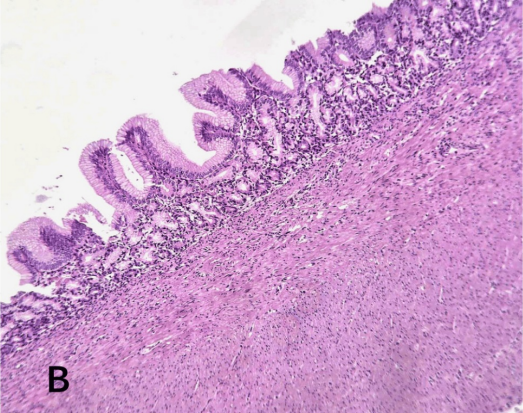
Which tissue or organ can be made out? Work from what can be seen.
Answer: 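Gastric-type mucosa. Surface lined by tall columnar cells with pale apical mucin. Short pits and glands set in a cellular lamina propria. No villi are present. A thick layer of pink smooth muscle lies beneath the mucosa.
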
